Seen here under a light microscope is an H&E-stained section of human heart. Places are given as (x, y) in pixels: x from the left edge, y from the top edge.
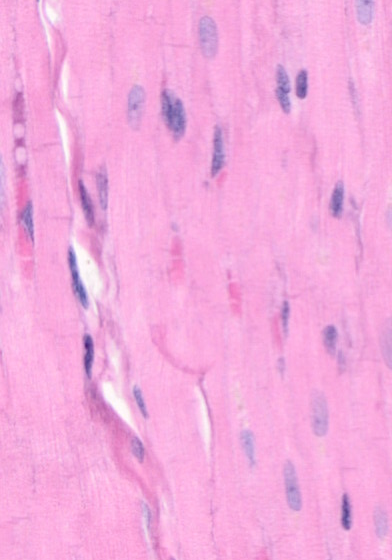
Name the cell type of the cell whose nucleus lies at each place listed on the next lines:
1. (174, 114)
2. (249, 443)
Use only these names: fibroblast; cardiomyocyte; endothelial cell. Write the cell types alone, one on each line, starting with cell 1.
endothelial cell
cardiomyocyte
